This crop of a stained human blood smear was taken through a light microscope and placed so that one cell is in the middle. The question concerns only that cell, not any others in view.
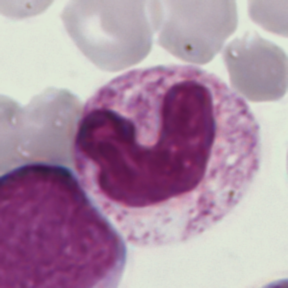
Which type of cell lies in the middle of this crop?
band neutrophil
